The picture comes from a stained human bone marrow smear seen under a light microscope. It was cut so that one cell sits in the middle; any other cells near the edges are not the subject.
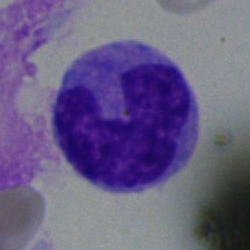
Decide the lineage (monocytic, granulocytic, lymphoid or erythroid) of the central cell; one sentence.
The cell at the center is a representative of the monocytic lineage.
